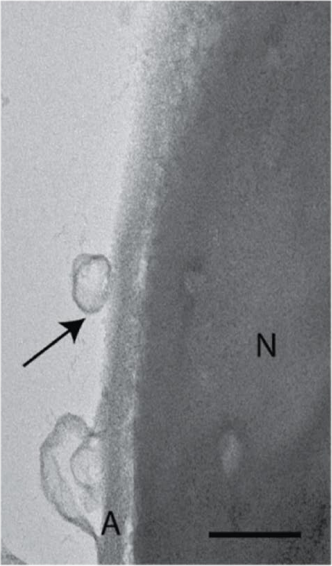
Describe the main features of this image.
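Part of a sperm head in section. The homogeneous, electron-dense nucleus fills most of the field, with a few small pale spots. A thin acrosome layer lies along its outer edge. Small round membrane-bound vesicles lie close against the surface of the head.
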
